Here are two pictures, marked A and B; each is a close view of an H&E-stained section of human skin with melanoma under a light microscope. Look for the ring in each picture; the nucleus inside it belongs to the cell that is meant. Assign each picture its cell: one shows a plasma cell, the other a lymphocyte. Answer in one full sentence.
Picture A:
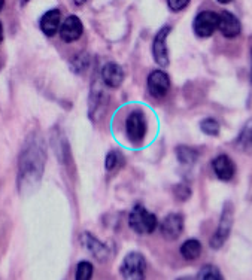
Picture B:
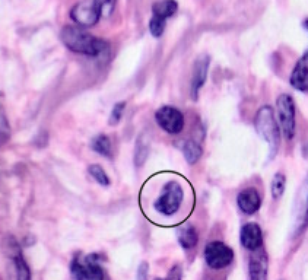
In picture A the cell is a plasma cell; in picture B, a lymphocyte.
